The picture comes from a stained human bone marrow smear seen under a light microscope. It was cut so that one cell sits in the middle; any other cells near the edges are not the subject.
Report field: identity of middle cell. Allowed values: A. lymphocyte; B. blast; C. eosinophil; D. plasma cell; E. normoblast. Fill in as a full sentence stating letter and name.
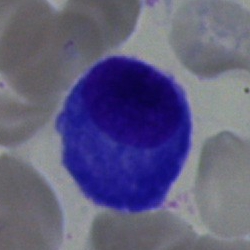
Option D is correct; the cell in the middle is a plasma cell.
